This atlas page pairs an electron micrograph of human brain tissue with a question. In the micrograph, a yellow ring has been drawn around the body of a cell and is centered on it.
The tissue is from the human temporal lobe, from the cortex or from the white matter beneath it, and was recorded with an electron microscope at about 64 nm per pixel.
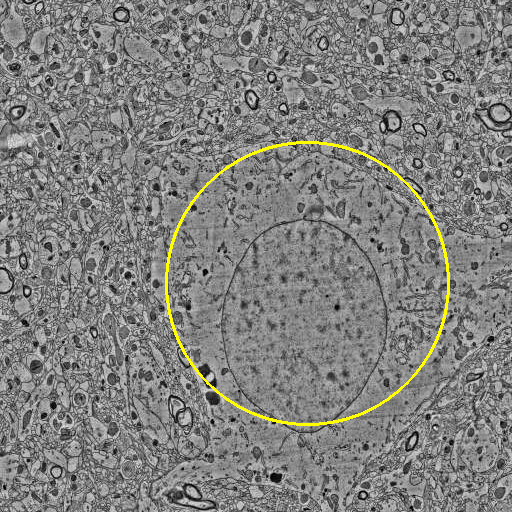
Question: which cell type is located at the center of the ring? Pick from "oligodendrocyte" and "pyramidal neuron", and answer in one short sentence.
Located at the center of the ring is a pyramidal neuron.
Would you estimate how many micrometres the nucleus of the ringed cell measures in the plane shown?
In this plane the nucleus measures roughly 14 by 11 micrometers.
